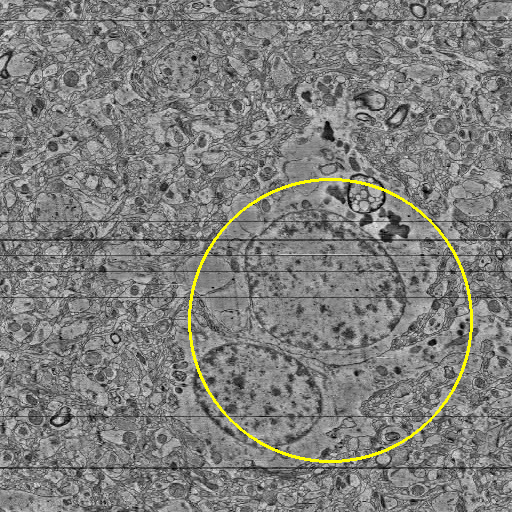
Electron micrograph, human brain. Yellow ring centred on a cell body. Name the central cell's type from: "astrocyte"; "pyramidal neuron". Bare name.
astrocyte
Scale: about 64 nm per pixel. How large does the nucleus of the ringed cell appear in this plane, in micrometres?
The nucleus of the ringed cell is approximately 11 by 8 micrometres in this plane.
